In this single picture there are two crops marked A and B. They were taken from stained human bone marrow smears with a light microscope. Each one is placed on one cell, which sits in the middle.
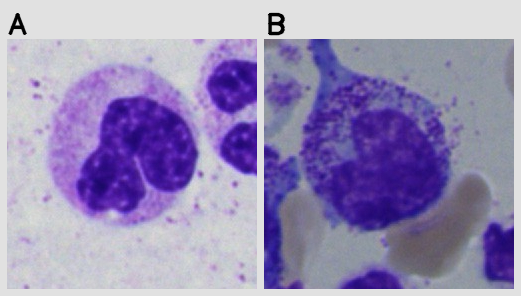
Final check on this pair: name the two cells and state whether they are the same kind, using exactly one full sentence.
No, the middle of crop A holds a band neutrophil, and the middle of crop B holds a metamyelocyte.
